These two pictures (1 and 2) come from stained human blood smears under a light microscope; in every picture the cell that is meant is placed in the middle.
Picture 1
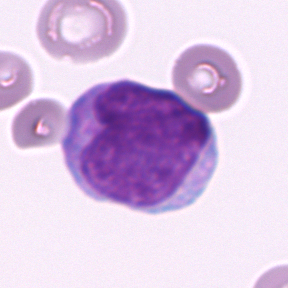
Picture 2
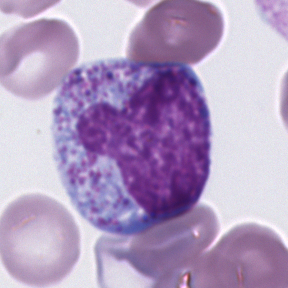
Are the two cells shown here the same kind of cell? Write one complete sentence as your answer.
No, they differ: the cell is an atypical promyelocyte in picture 1 and a myelocyte in picture 2.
